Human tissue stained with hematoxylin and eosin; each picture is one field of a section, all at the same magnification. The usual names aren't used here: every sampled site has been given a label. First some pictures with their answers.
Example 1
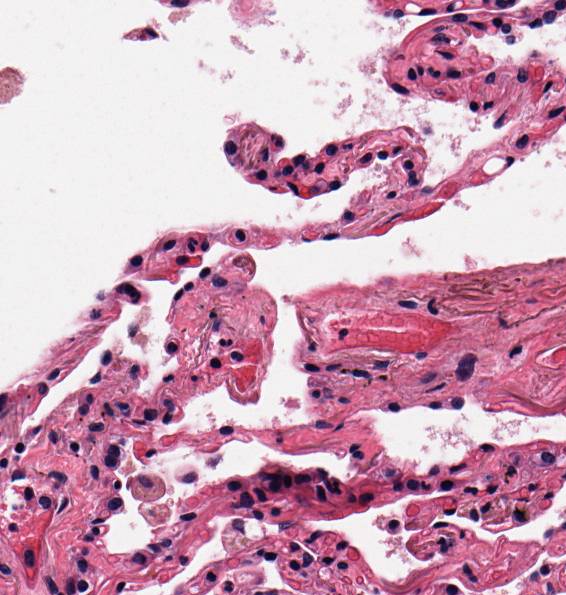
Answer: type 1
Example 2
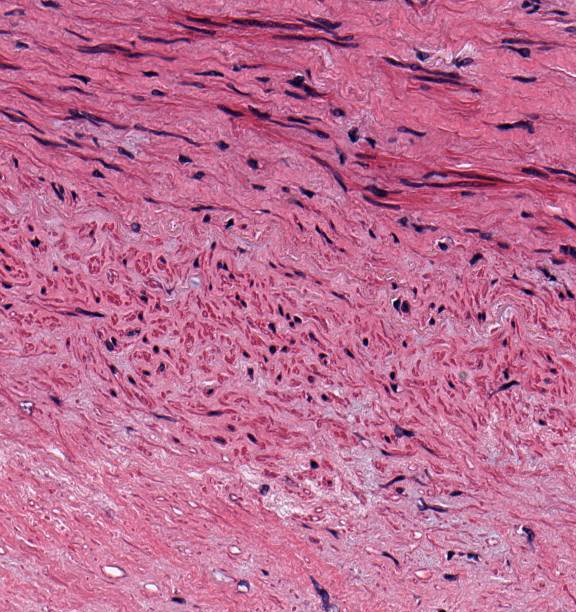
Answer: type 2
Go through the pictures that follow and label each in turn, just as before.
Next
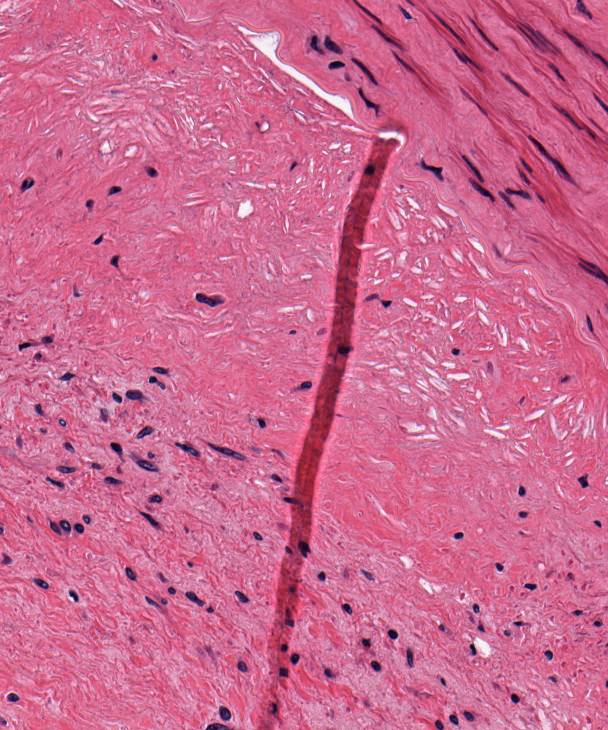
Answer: type 2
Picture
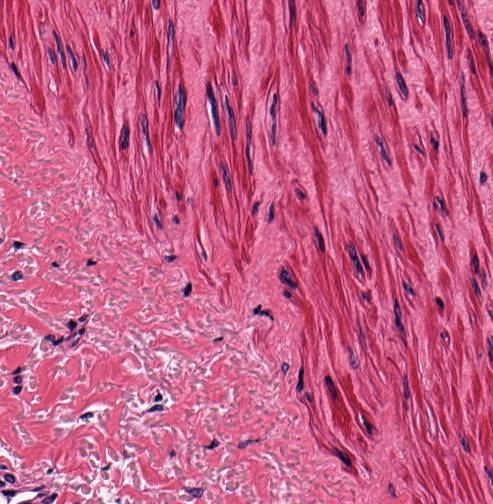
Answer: type 2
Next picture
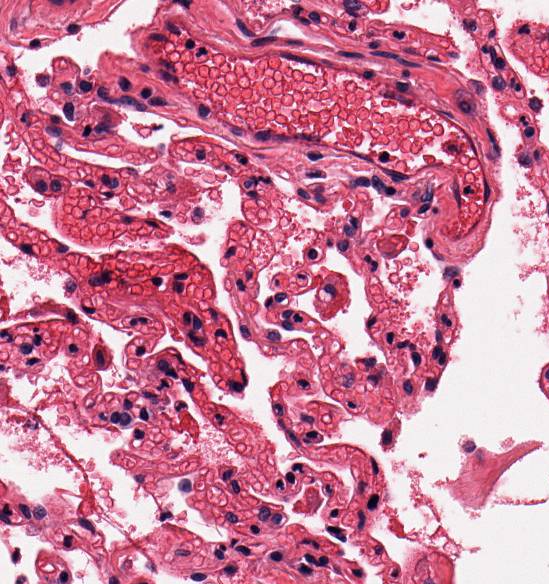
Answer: type 1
